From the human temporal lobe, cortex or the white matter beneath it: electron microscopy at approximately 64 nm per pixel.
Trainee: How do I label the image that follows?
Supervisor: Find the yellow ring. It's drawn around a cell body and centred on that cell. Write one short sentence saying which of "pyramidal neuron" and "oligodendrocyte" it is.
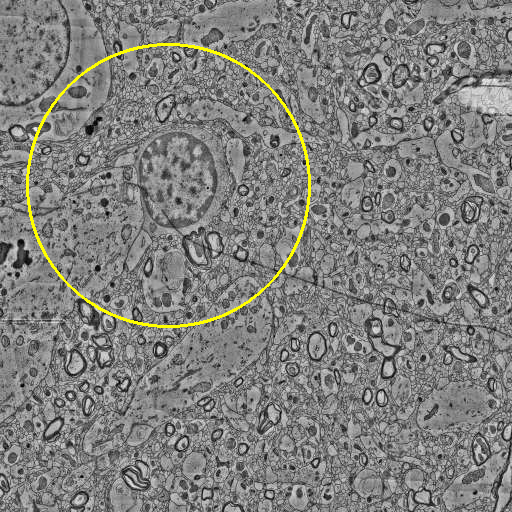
This is the cell body of an oligodendrocyte.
